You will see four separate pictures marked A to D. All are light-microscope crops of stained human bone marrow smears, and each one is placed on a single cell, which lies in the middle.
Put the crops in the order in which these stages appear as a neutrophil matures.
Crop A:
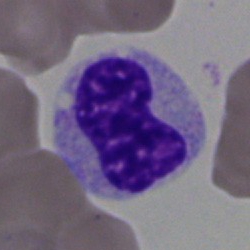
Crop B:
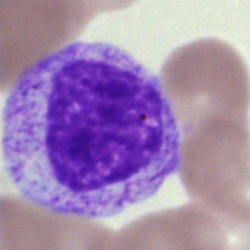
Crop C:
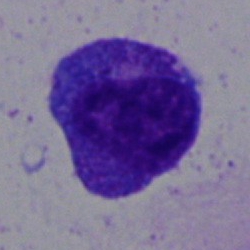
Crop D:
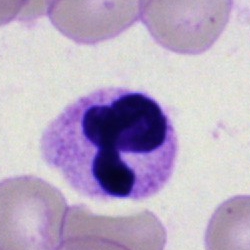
C, B, A, D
